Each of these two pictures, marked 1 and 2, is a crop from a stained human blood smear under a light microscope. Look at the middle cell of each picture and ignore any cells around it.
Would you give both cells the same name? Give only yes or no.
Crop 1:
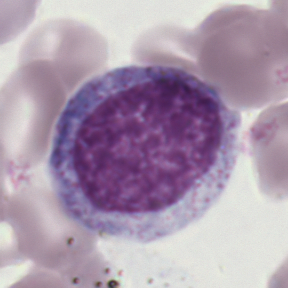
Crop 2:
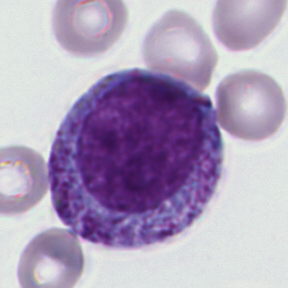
yes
